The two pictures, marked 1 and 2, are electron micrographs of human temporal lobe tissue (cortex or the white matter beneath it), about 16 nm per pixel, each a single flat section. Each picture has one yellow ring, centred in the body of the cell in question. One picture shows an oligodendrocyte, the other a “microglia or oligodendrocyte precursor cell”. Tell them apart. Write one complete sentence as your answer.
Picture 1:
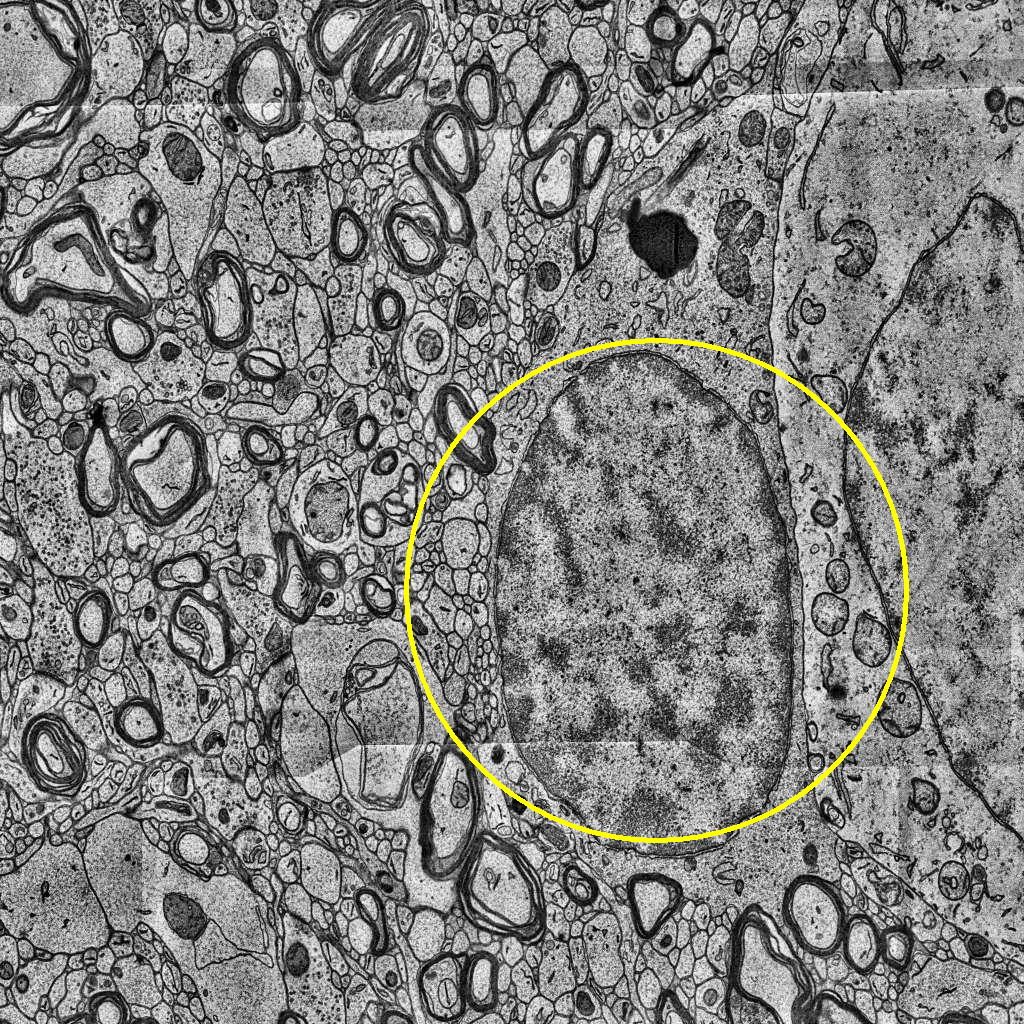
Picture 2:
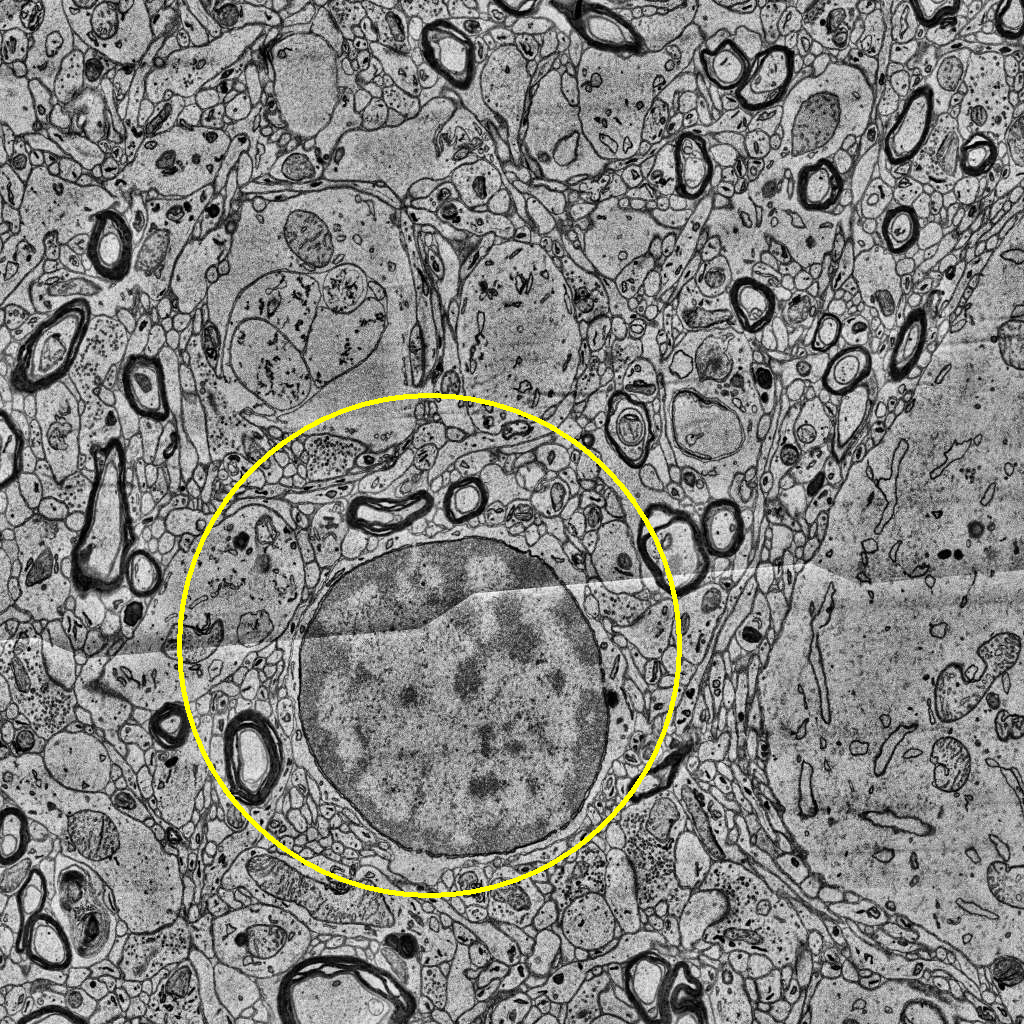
Picture 2 shows a “microglia or oligodendrocyte precursor cell”, while picture 1 shows an oligodendrocyte.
